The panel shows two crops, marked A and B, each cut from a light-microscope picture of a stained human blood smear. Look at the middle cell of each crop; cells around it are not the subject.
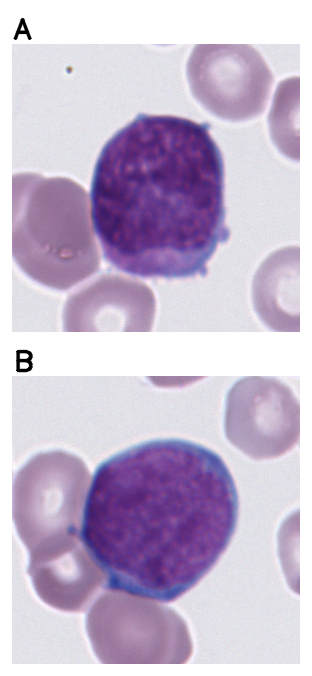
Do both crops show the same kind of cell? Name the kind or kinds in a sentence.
No, crop A matches an atypical promyelocyte and crop B matches a myeloblast.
